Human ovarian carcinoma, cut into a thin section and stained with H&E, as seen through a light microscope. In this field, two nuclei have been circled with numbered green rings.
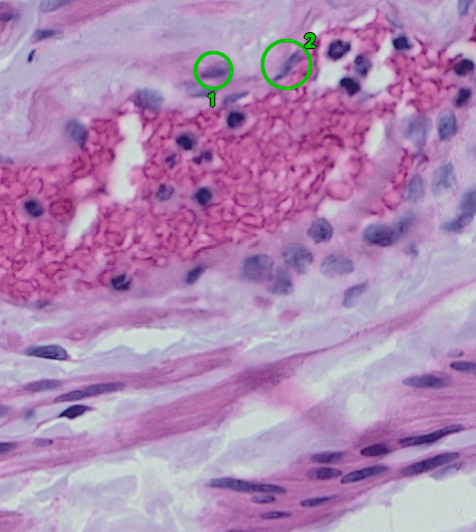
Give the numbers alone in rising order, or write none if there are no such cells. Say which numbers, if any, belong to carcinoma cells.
none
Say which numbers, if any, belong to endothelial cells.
2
